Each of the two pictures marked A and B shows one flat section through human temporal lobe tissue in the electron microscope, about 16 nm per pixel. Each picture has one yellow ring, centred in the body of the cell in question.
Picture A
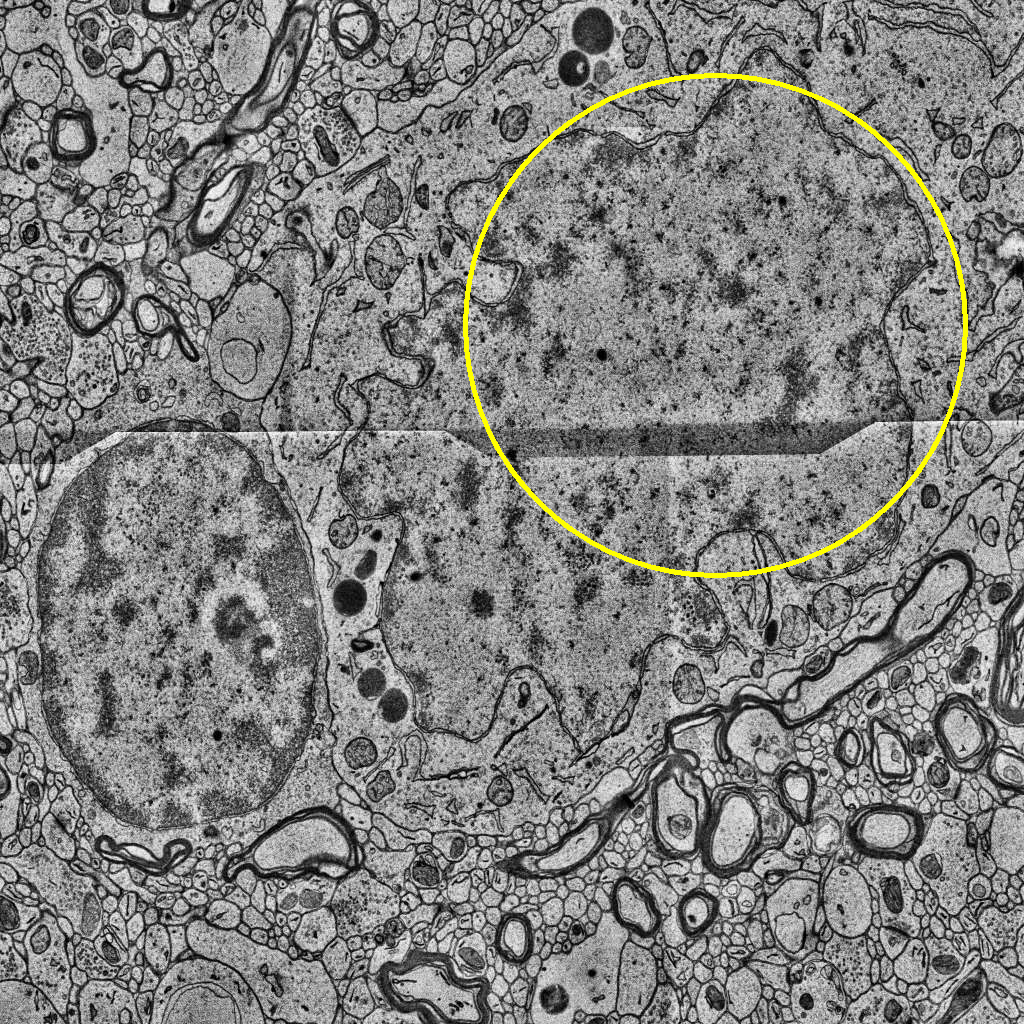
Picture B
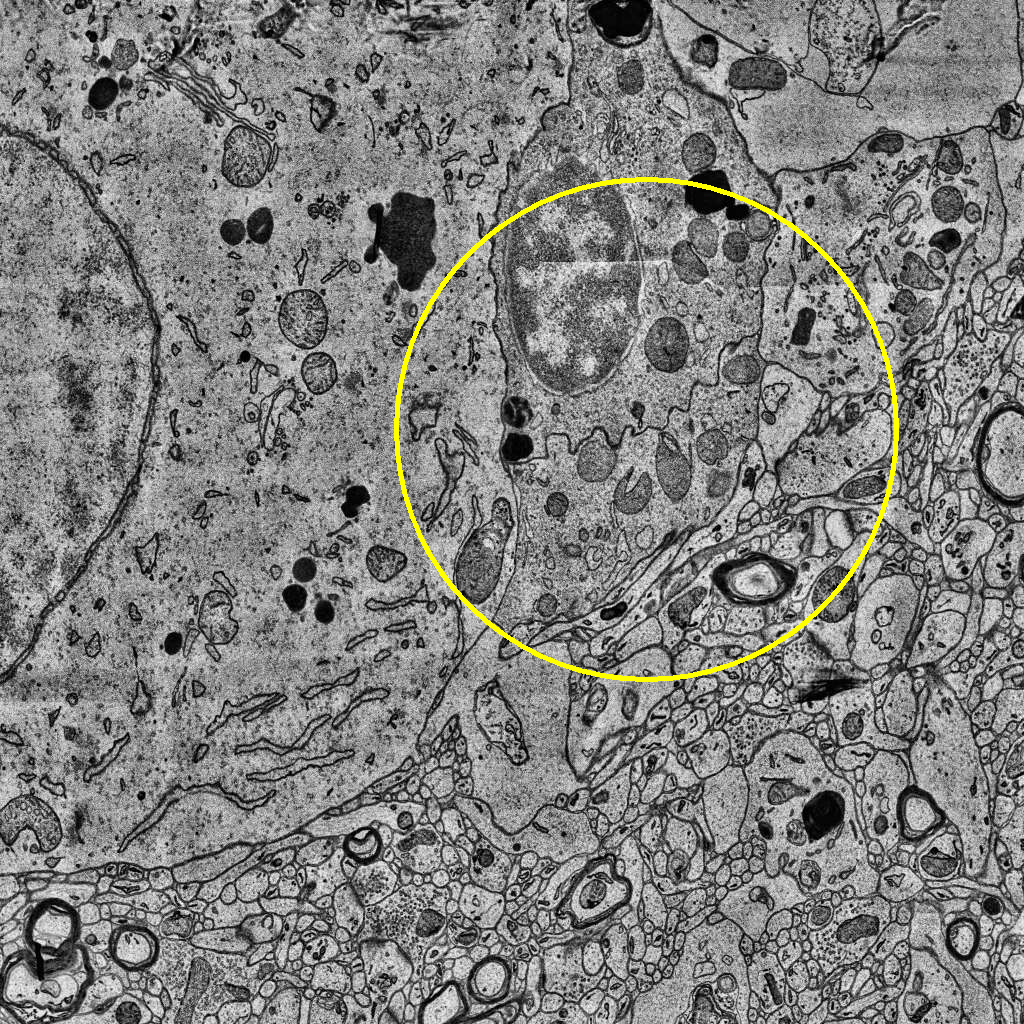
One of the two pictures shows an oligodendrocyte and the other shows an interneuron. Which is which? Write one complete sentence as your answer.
It is picture A that shows an interneuron, and picture B that shows an oligodendrocyte.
